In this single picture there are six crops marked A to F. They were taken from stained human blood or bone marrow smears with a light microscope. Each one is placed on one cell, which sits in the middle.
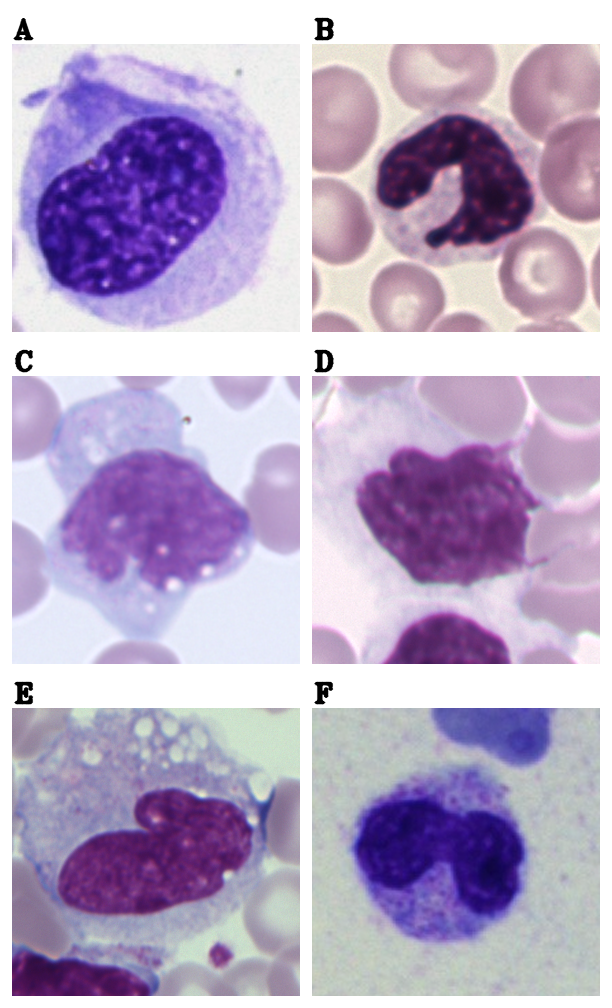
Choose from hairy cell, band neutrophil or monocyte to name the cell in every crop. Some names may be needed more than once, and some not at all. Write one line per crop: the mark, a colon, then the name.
A: hairy cell
B: band neutrophil
C: monocyte
D: hairy cell
E: monocyte
F: band neutrophil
